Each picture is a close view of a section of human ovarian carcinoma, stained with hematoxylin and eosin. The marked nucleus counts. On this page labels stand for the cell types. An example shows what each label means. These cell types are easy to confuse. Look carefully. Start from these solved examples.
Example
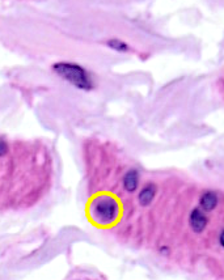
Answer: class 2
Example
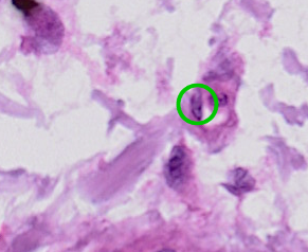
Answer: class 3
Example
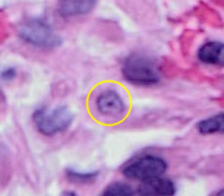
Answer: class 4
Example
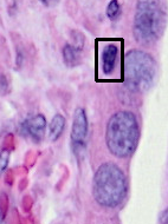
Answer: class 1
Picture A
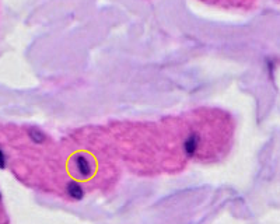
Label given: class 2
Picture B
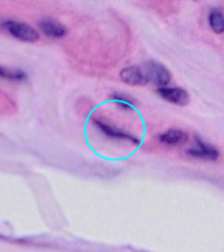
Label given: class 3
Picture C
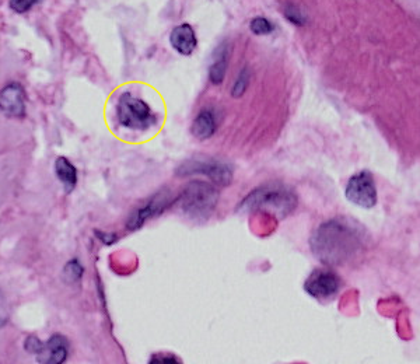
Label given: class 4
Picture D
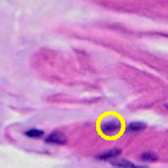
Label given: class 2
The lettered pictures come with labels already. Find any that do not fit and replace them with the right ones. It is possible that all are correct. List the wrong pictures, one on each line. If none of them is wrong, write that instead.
All labels are correct.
